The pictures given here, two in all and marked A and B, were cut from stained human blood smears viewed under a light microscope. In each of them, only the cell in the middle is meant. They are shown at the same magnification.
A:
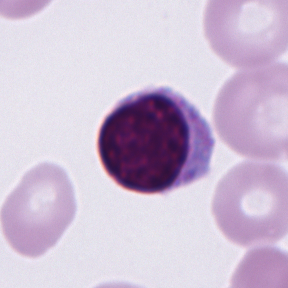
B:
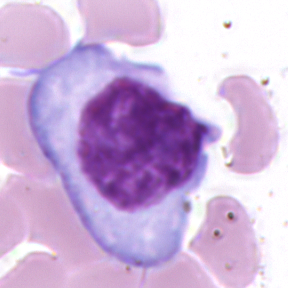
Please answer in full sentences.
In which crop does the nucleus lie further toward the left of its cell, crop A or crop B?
In crop A the nucleus is shifted more toward the left.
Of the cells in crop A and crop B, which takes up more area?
The cell in crop B is larger, with about 3 times the area of the one in crop A.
